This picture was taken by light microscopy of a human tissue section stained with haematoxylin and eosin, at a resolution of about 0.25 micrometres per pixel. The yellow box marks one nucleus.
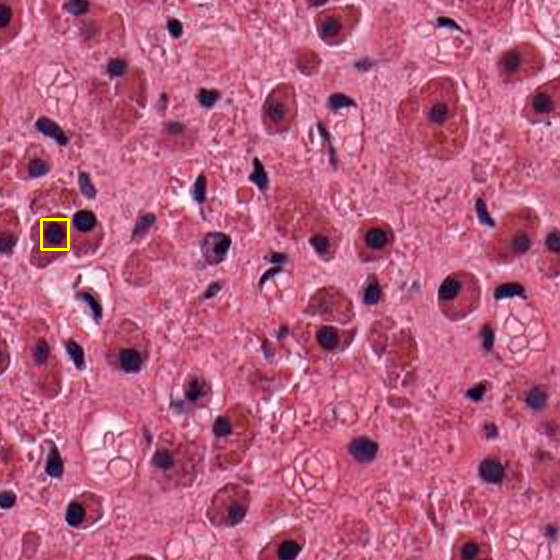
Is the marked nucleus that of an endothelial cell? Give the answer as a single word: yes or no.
no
